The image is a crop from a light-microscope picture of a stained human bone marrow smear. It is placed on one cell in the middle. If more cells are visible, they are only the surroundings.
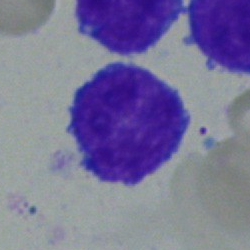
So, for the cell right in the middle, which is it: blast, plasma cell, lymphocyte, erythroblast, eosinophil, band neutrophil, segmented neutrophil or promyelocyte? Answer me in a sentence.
The cell in the middle of this crop is a blast.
